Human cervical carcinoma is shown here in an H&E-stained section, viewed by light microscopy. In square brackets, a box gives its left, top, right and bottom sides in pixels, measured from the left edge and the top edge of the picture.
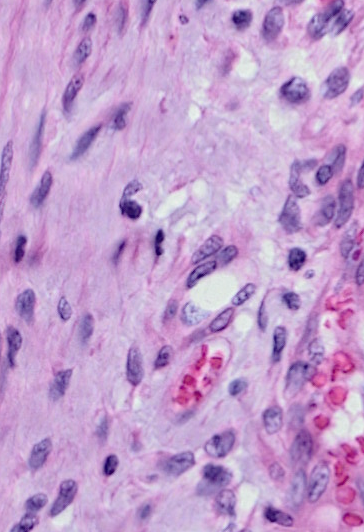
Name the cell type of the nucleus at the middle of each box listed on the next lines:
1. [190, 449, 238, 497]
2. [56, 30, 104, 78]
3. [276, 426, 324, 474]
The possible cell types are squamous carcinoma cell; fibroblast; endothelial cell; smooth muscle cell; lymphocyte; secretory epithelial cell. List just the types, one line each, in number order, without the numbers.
lymphocyte
smooth muscle cell
endothelial cell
